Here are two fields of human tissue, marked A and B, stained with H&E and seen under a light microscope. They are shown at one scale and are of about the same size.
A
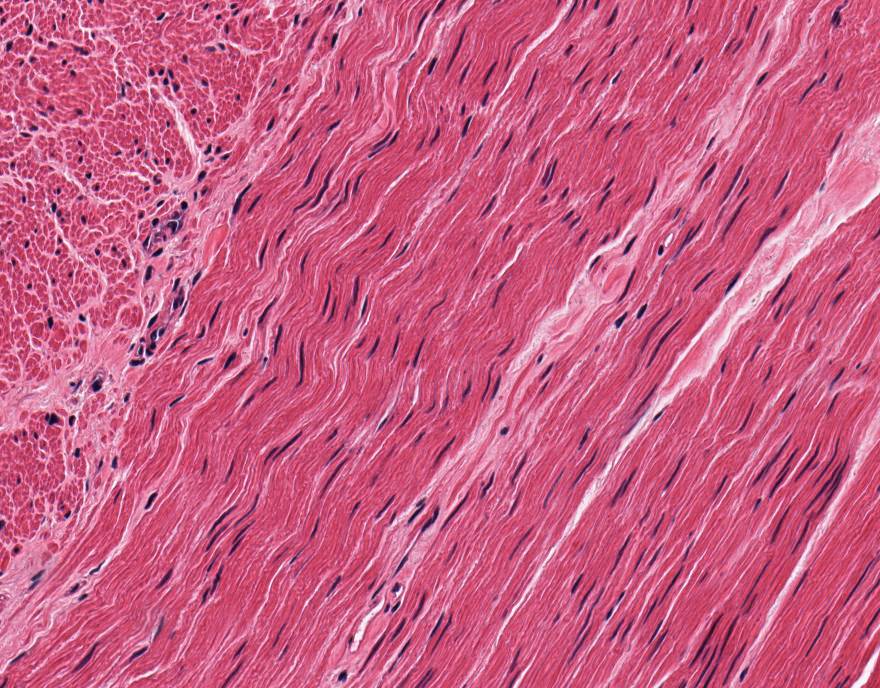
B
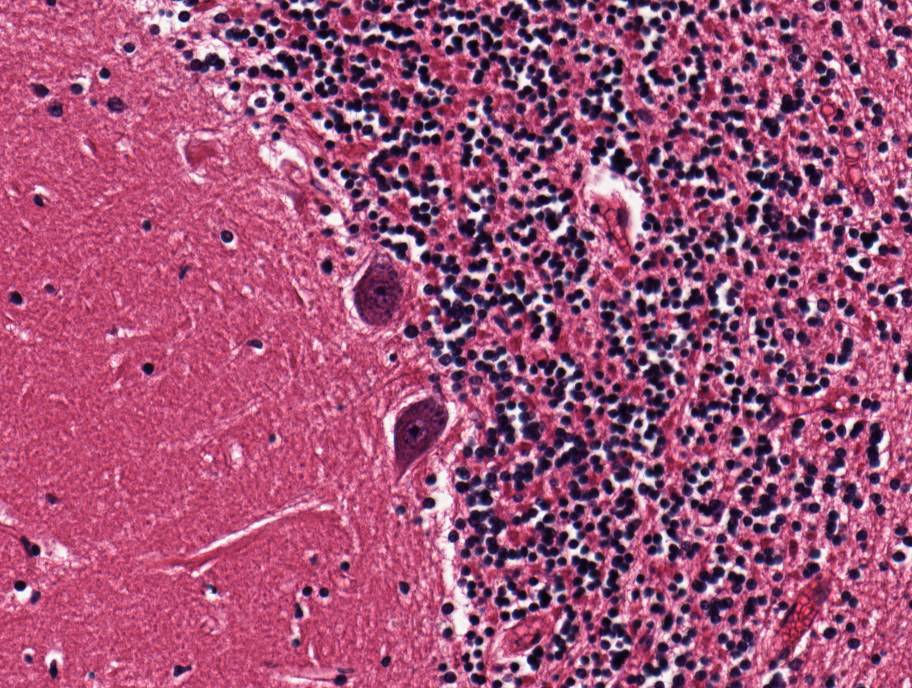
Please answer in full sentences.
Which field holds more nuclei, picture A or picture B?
Picture B holds more nuclei than picture A.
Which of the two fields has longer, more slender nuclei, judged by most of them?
It is picture A whose nuclei are the more elongated.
